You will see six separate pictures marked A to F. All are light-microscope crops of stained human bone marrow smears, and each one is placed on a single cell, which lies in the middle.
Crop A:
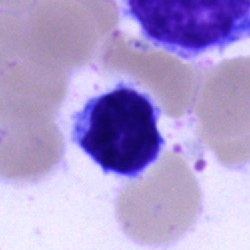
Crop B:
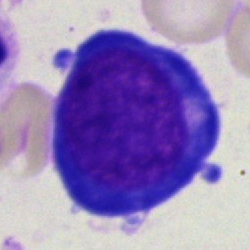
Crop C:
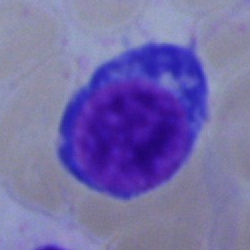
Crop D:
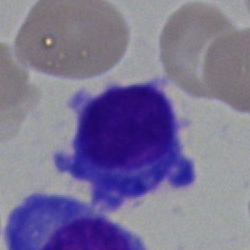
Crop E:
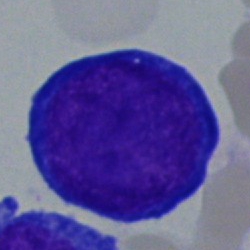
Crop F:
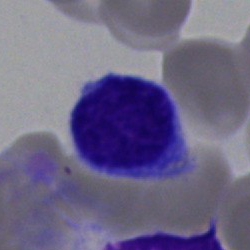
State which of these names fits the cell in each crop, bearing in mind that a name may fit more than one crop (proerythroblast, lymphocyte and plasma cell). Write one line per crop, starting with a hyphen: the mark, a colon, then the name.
- A: lymphocyte
- B: proerythroblast
- C: proerythroblast
- D: plasma cell
- E: proerythroblast
- F: lymphocyte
